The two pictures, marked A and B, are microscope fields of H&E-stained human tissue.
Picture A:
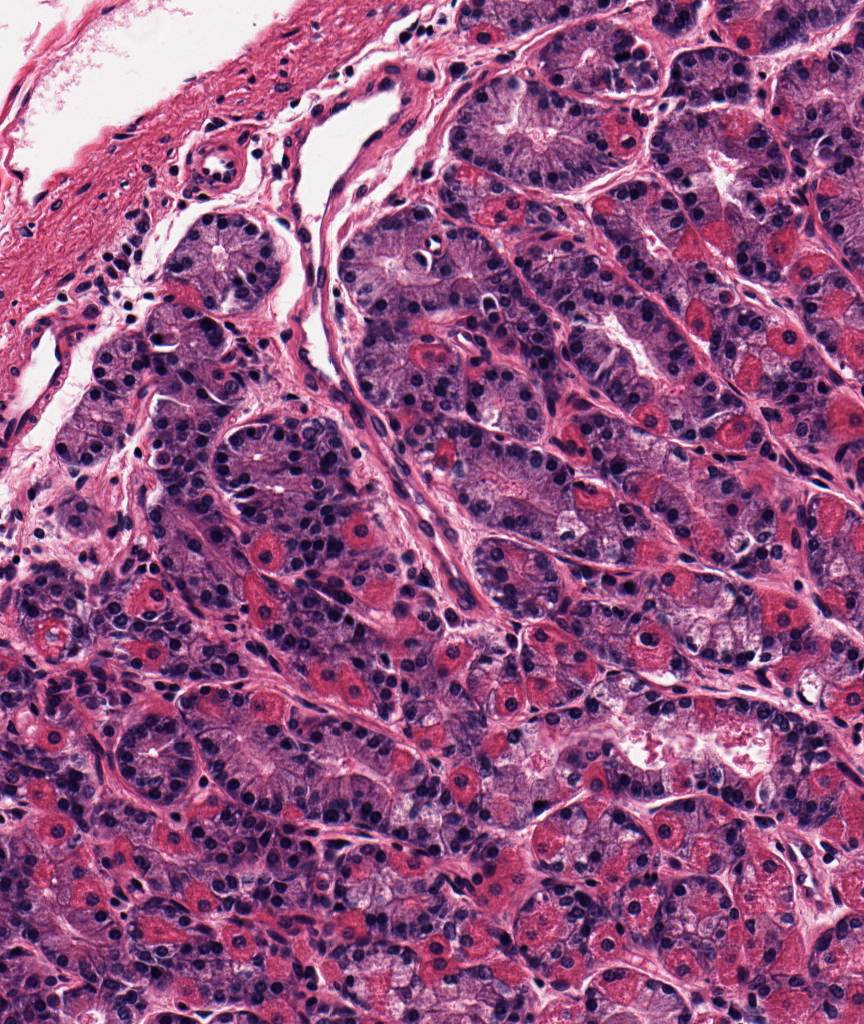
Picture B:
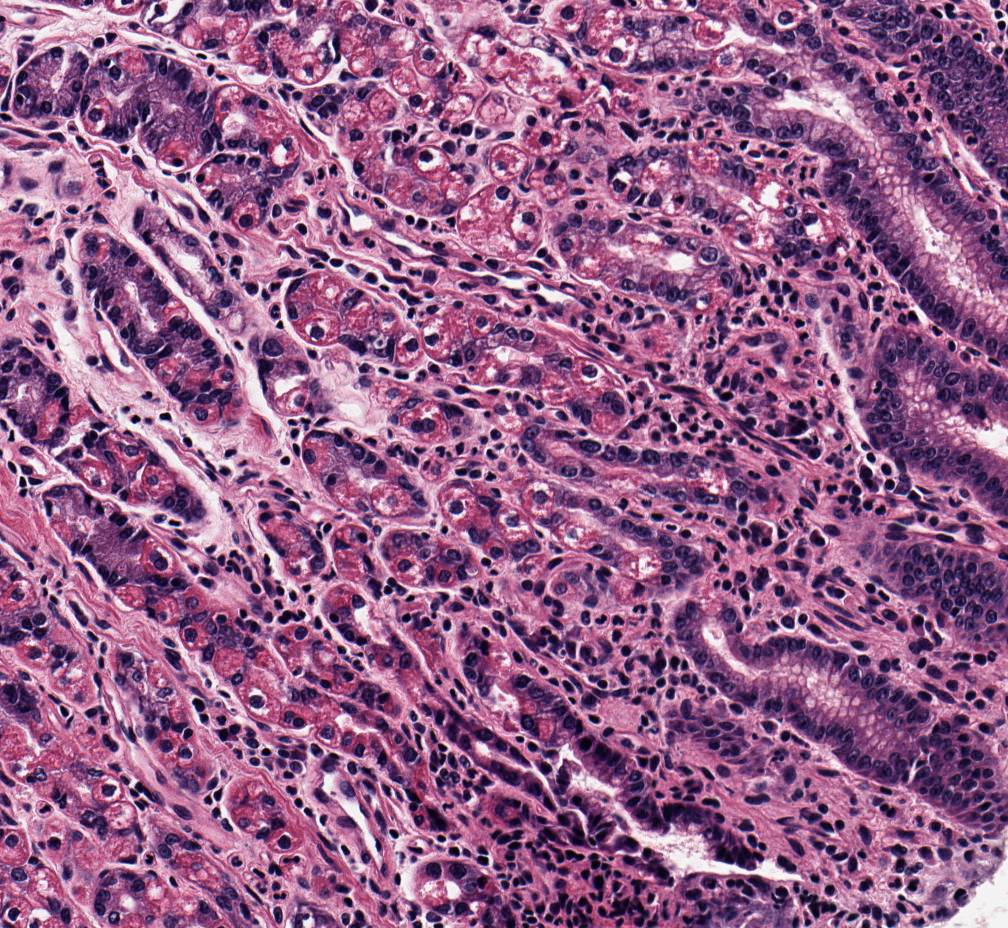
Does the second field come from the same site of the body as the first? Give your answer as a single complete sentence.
Yes, the two fields both come from the stomach.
